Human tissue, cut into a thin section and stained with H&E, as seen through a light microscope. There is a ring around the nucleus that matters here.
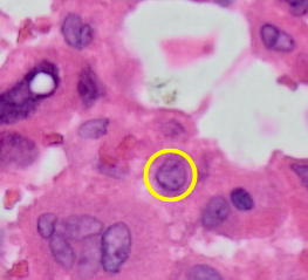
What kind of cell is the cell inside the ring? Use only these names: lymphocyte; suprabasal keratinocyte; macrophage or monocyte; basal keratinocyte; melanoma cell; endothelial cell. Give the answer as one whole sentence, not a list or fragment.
The category to which the cell inside the ring belongs is that of a macrophage or monocyte.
